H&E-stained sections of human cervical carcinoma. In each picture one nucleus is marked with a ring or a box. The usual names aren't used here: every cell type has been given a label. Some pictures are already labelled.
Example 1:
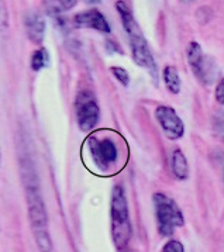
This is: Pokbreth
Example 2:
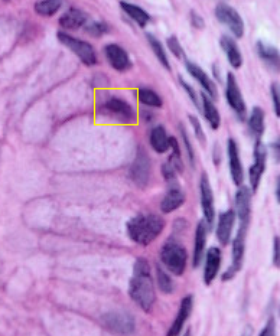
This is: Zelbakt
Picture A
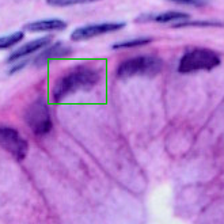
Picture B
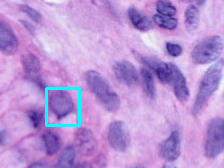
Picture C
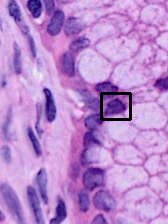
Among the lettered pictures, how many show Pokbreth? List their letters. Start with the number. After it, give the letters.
0, none of them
